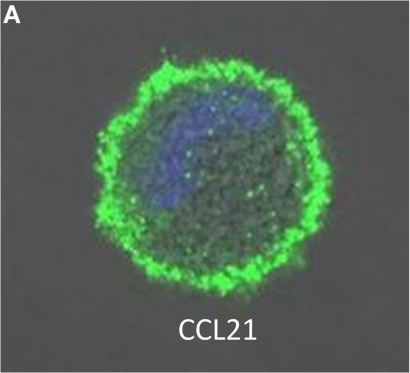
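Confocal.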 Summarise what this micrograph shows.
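The nucleus is irregular, somewhat kidney-shaped and off-centre. Green signal forms a dense ring of discrete puncta around the whole cell surface. Only a few scattered green dots lie inside the cell. The outer edge of the ring is slightly bumpy rather than smooth.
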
